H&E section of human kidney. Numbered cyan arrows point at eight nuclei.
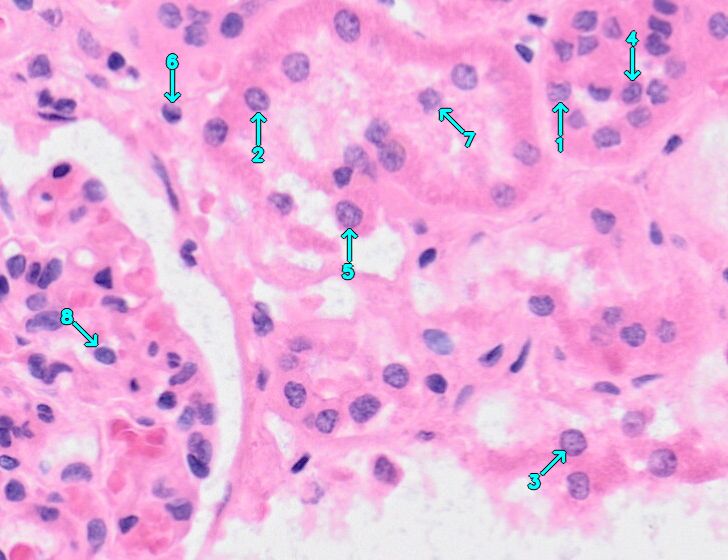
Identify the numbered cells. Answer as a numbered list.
1. loop of Henle or distal tubule cell
2. proximal tubule cell
3. proximal tubule cell
4. loop of Henle or distal tubule cell
5. proximal tubule cell
6. endothelial cell
7. proximal tubule cell
8. endothelial cell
